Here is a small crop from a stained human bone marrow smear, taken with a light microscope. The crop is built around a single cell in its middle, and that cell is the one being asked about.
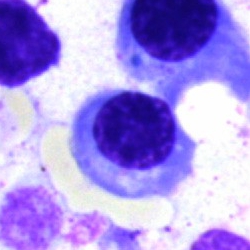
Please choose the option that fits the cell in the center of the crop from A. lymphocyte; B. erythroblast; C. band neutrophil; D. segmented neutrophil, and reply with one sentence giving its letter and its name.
Option B holds up: the cell in the middle is an erythroblast.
